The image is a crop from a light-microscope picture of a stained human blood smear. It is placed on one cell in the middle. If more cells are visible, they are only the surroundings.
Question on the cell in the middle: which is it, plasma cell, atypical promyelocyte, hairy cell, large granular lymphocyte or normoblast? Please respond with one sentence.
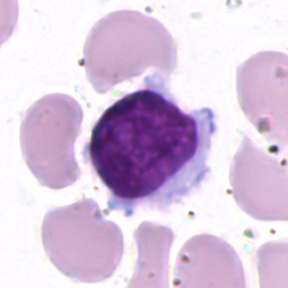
The central element of this crop is a cell, namely a plasma cell.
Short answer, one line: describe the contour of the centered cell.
The cytoplasmic margin is uneven, whether through ragged segments or through projections.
